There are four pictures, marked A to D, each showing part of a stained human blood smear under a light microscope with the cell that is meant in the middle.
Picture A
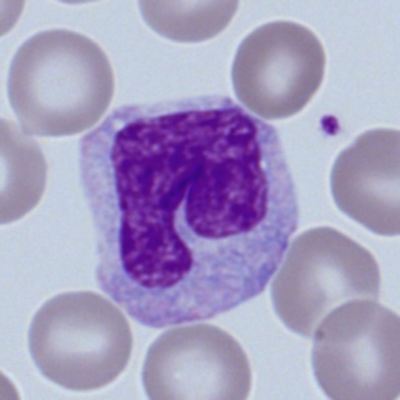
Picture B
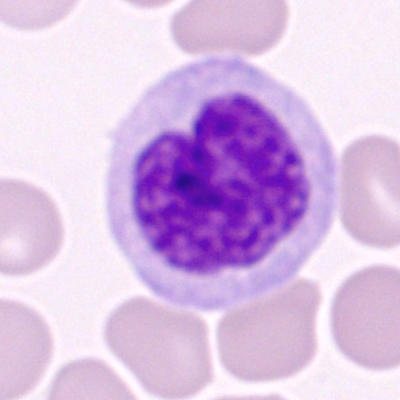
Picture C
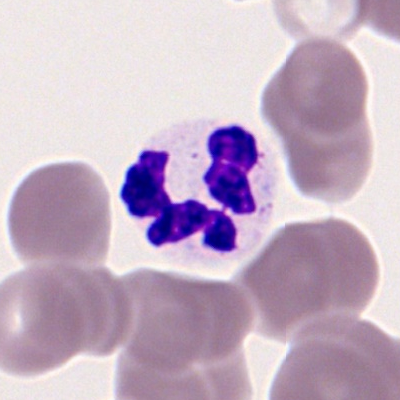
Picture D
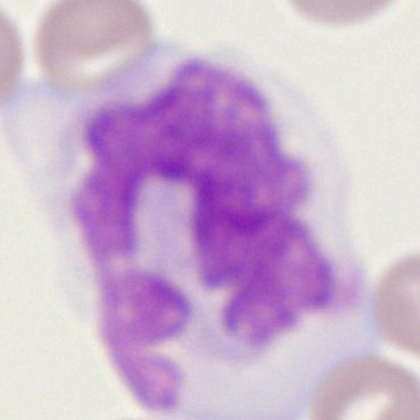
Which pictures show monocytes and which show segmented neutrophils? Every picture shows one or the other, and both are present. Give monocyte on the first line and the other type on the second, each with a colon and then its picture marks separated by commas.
monocyte: A, B, D
segmented neutrophil: C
